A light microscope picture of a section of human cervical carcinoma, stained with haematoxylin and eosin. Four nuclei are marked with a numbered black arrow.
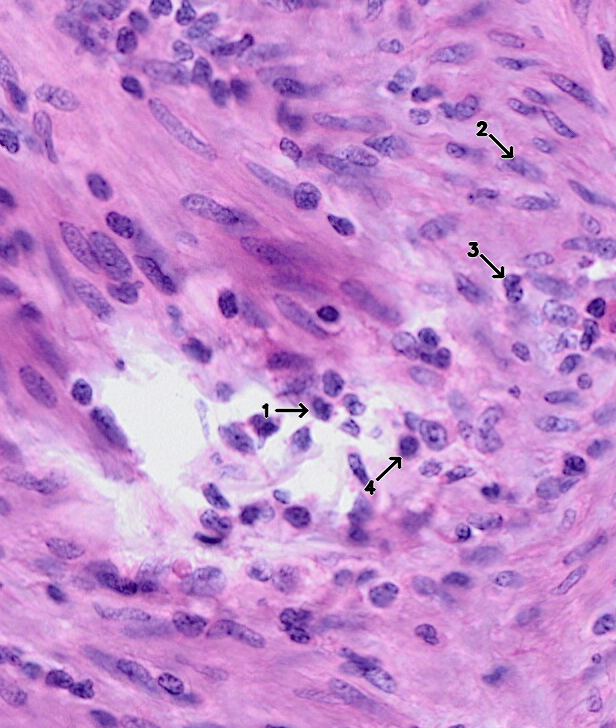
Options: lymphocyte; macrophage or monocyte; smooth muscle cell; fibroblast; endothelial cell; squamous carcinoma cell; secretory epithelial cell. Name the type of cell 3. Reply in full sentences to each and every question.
The cell indicated by marker 3 is a lymphocyte in this section.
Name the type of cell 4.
Among the marked nuclei, number 4 belongs to a lymphocyte.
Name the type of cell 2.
The cell that bears the number 2 is a smooth muscle cell.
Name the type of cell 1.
The identity of cell 1 is that of a lymphocyte.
